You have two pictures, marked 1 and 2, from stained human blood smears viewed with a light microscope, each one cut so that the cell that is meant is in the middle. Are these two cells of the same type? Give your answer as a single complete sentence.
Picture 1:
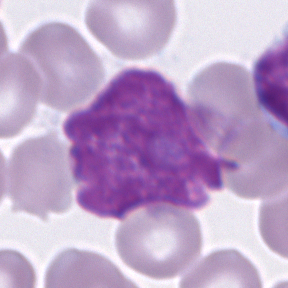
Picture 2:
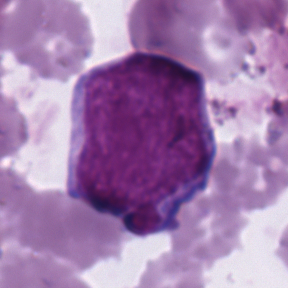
No, picture 1 shows a smudge cell and picture 2 shows a myeloblast.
